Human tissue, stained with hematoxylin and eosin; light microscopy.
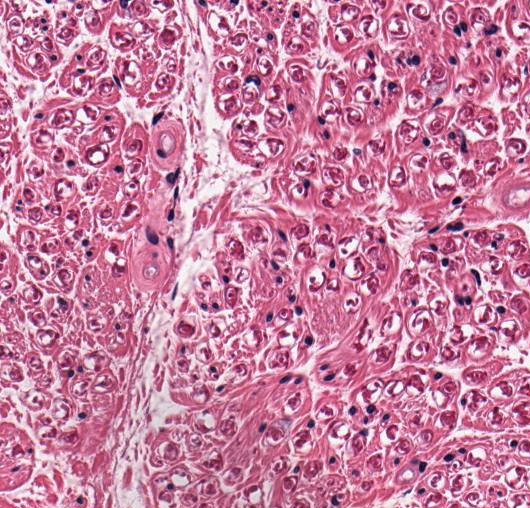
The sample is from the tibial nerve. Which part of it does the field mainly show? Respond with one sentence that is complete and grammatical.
The human tissue part in this section is nerve fascicle.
